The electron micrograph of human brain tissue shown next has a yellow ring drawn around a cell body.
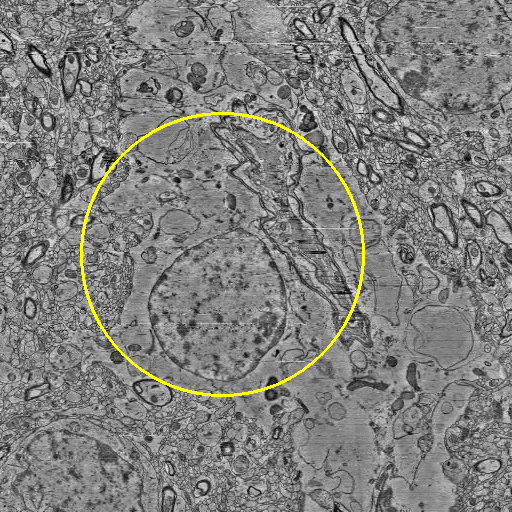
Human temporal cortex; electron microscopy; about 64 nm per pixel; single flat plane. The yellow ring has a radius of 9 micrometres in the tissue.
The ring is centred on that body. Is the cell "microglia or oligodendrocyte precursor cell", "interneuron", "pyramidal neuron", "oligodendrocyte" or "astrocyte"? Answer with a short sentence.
The cell in question is an astrocyte.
